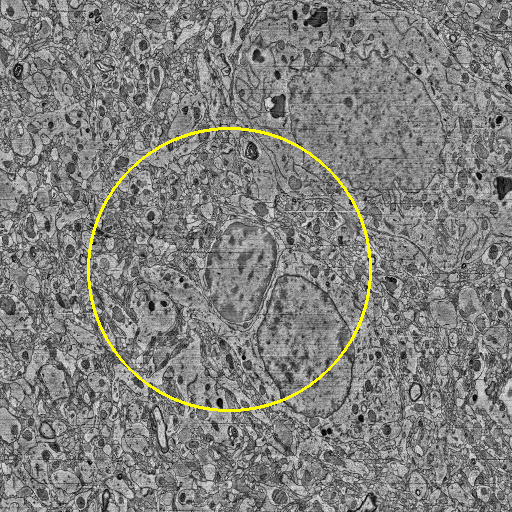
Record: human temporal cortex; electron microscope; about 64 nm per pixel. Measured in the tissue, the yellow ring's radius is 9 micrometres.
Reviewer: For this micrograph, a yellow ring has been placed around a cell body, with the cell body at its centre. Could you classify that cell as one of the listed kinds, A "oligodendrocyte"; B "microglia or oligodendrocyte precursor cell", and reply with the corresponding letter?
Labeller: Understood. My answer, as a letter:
B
